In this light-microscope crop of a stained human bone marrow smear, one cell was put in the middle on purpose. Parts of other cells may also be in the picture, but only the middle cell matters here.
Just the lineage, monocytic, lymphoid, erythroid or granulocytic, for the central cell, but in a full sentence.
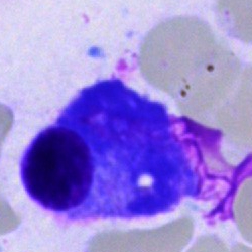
From the lymphoid lineage comes the cell in the middle of the crop.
